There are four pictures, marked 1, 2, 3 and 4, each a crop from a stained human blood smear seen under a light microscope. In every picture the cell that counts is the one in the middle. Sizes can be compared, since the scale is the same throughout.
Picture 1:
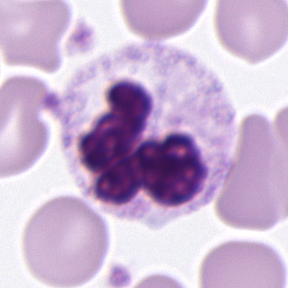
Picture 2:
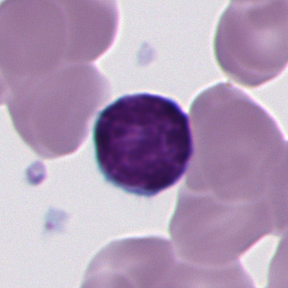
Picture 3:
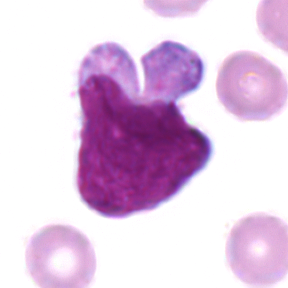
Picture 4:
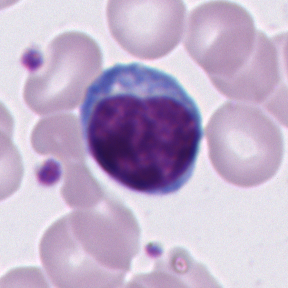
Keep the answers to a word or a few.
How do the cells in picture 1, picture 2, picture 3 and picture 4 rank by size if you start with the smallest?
2, 4, 3, 1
